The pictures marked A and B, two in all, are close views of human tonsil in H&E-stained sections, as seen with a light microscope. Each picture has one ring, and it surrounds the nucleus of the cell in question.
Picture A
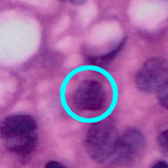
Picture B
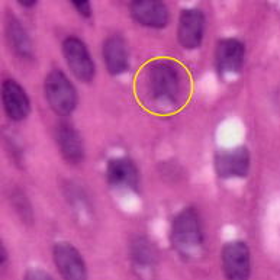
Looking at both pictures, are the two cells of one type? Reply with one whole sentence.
Yes, they are the same type: both are squamous epithelial cells.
